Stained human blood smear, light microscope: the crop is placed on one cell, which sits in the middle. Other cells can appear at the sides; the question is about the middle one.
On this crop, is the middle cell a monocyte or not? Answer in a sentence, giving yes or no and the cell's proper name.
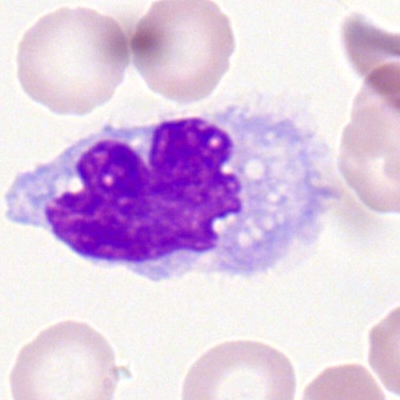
Yes, the cell that the crop is centered on is a monocyte.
